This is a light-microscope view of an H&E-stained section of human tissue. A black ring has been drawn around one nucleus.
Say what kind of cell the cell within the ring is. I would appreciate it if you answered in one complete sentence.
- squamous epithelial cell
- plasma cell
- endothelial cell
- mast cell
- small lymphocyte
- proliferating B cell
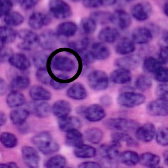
In the tissue under study, the cell within the ring is a small lymphocyte.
